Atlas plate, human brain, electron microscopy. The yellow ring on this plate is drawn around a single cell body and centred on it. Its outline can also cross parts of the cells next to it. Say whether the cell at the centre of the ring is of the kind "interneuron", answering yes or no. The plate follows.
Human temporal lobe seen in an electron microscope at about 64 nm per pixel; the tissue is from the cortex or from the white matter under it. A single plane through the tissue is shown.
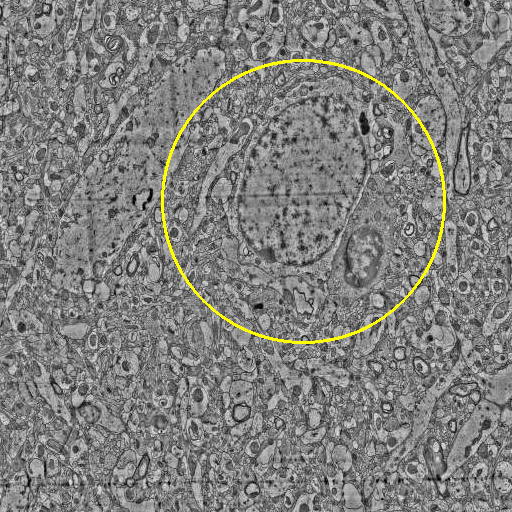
Yes, the cell is of that kind.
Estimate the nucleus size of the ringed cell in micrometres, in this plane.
In this plane, approximately 11 by 7 micrometers, and clearly longer than it is wide.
